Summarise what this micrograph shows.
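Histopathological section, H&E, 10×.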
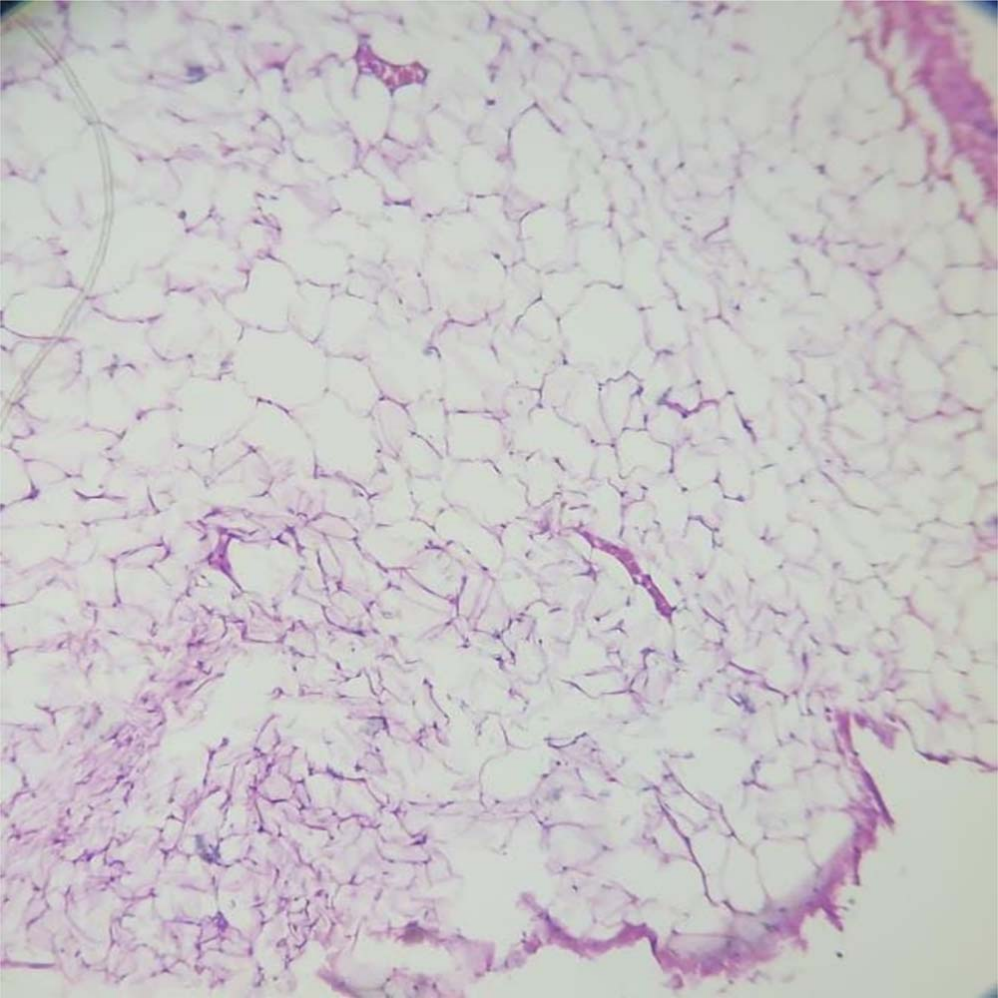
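The section shows a field made up almost entirely of mature adipocytes, seen as large, clear, rounded to polygonal cells. Nuclei are few, small and dark, and lie flattened at the cell periphery. Thin pink fibrous strands carrying small blood vessels filled with red cells run between groups of the fat cells. A denser pink band of fibrous tissue borders the tissue along its upper right and lower edges.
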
